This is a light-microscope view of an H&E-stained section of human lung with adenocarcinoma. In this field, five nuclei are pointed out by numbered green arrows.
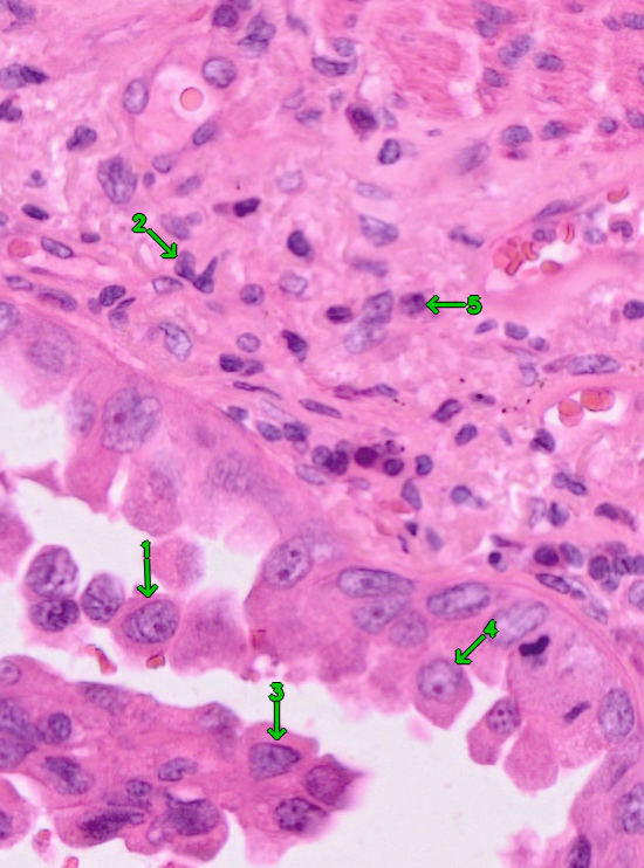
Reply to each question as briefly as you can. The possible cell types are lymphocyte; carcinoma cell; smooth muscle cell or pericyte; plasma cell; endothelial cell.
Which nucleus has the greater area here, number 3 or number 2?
3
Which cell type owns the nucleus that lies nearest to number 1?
carcinoma cell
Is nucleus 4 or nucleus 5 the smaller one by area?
5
